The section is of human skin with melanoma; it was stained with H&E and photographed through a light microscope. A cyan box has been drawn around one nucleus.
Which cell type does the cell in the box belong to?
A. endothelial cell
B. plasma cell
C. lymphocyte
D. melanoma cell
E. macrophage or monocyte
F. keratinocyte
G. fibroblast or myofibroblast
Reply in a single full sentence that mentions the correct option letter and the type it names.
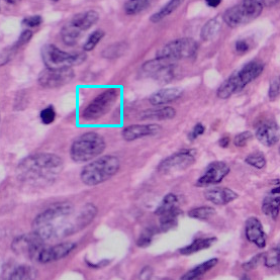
Option D stands as correct, with the cell in the box being a melanoma cell.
